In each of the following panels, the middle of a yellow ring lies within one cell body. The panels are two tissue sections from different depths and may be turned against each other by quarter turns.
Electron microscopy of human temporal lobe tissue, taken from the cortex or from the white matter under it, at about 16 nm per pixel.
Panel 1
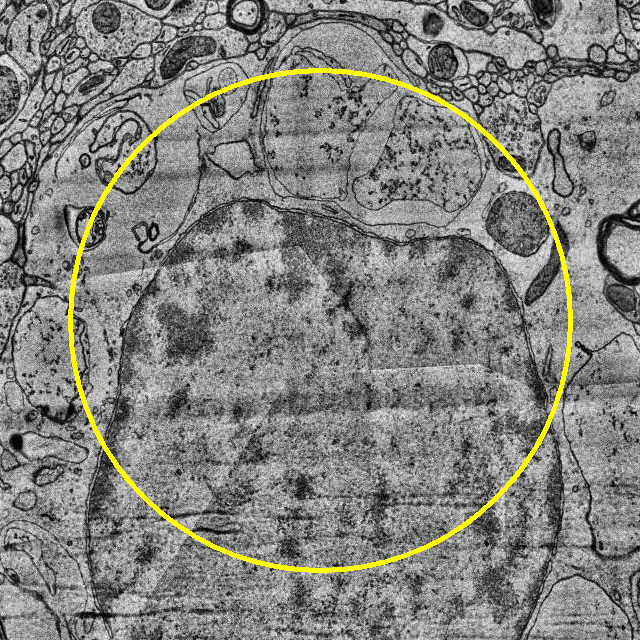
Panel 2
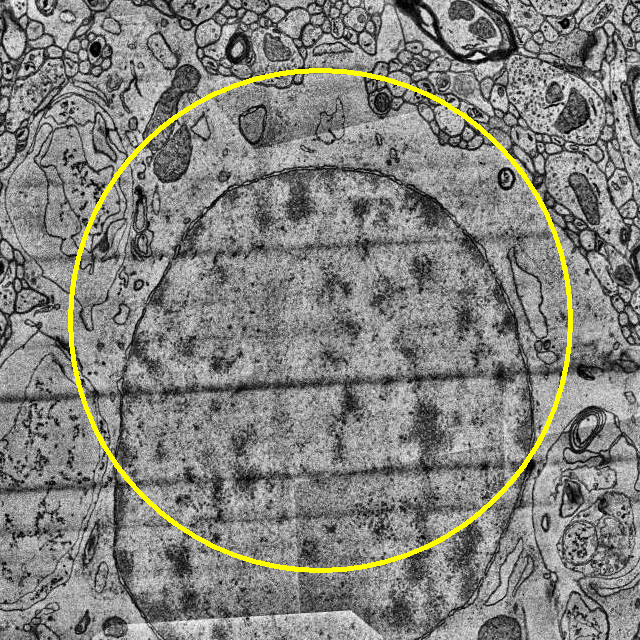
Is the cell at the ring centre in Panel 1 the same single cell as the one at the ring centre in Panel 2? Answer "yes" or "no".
yes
